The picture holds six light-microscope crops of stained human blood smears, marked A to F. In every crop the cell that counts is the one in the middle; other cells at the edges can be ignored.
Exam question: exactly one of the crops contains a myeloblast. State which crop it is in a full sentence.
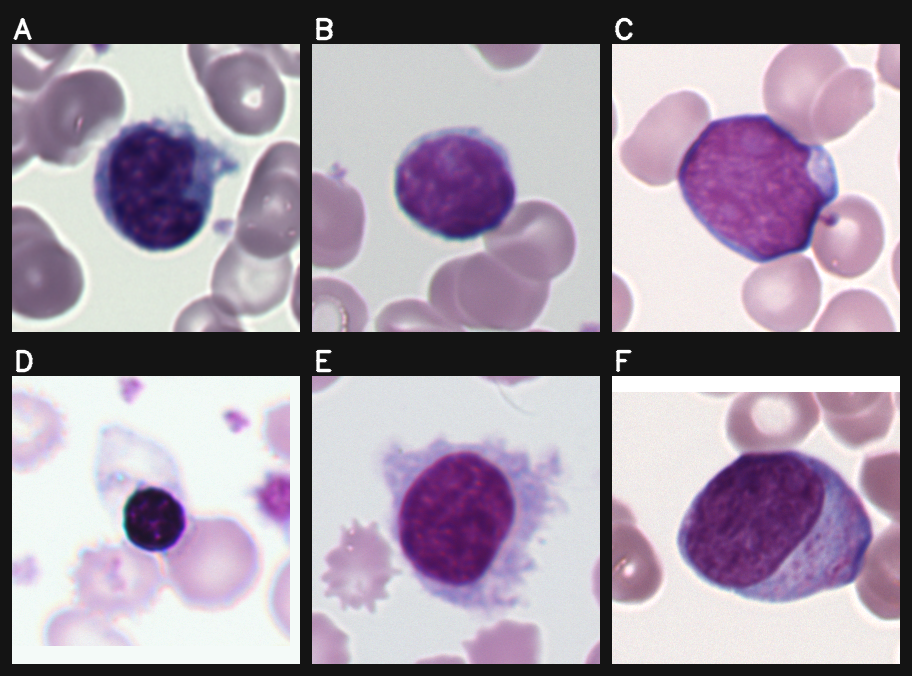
The one crop that shows a myeloblast is crop C.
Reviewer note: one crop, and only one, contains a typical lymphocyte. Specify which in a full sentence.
Crop B is identified as the crop showing a typical lymphocyte.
